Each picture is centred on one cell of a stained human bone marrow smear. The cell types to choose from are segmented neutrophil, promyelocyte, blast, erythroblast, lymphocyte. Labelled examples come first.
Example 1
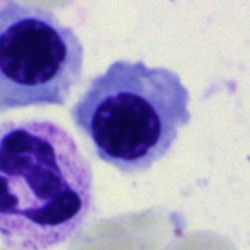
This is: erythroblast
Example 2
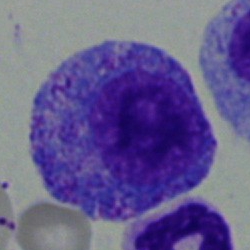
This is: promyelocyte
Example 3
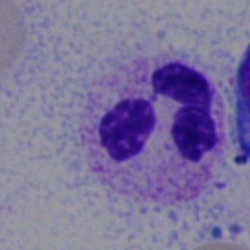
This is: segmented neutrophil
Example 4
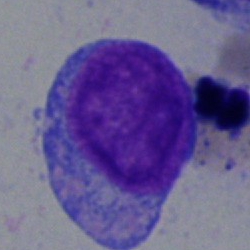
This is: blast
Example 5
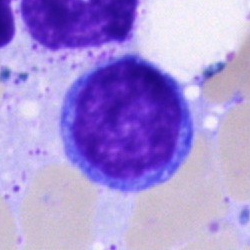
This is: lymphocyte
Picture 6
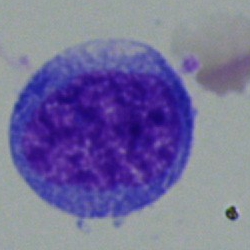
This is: blast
